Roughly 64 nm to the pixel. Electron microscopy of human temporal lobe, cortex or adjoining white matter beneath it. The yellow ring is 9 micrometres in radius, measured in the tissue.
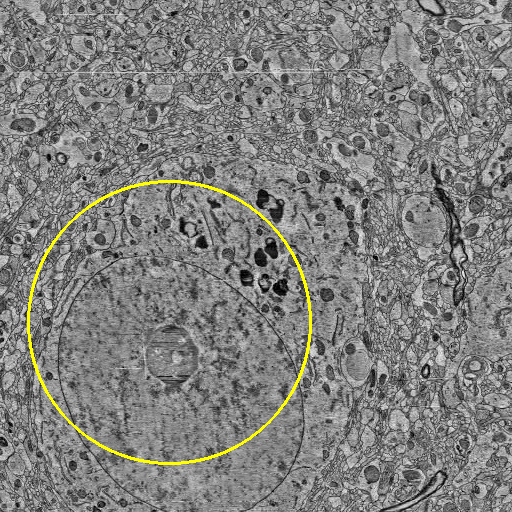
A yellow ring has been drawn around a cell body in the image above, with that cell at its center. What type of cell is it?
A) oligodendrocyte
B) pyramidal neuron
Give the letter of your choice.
B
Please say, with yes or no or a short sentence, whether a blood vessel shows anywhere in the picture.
No, no vessel shows anywhere in the image.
